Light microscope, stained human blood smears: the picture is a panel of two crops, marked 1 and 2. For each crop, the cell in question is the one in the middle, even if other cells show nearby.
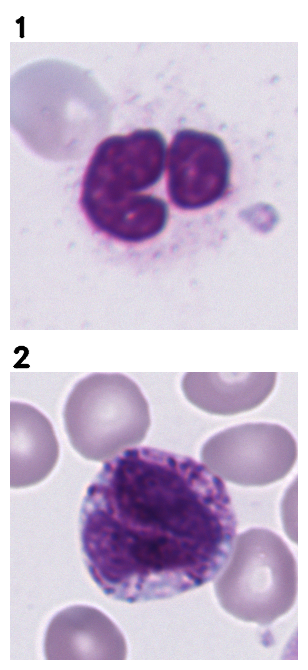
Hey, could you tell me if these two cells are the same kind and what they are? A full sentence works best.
No, crop 1 depicts a neutrophil; crop 2 depicts a basophil.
